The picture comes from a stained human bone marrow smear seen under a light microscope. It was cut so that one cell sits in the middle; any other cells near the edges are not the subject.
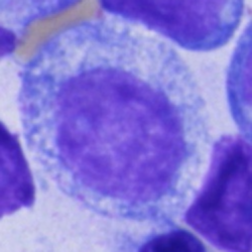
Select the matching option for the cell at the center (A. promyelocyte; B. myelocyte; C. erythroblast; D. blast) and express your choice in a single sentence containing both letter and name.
Here the right option is A, as the cell in the middle is a promyelocyte.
